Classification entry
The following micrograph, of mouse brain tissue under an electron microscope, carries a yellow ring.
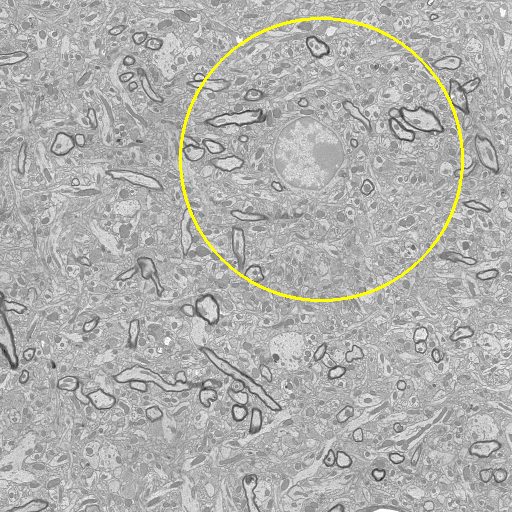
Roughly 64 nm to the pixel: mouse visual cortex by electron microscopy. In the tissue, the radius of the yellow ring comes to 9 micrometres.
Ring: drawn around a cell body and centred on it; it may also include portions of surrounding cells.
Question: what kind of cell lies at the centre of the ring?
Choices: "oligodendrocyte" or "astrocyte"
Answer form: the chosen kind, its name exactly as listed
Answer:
oligodendrocyte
